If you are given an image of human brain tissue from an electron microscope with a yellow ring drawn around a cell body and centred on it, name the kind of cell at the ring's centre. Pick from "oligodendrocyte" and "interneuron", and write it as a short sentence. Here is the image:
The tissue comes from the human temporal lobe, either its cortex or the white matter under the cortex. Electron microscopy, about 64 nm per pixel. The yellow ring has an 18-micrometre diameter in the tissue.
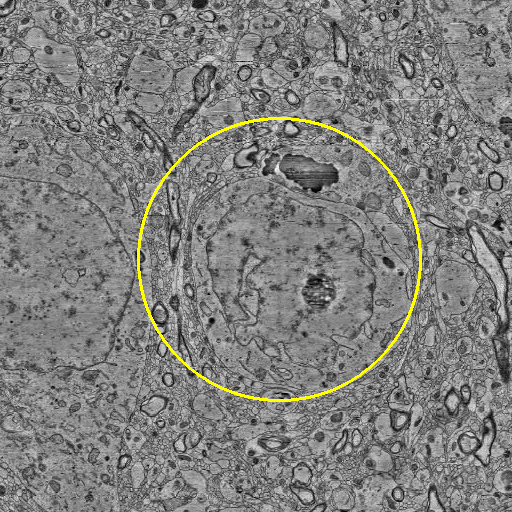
The cell at the ring's centre is an interneuron.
